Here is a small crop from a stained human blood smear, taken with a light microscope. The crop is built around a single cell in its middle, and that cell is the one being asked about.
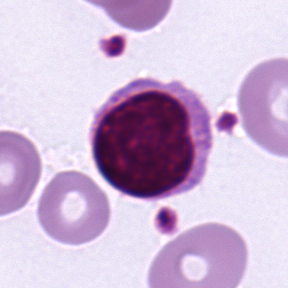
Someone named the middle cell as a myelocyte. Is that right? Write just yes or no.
no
